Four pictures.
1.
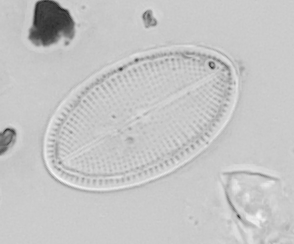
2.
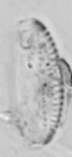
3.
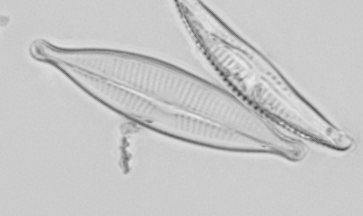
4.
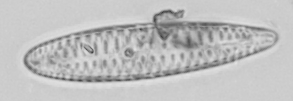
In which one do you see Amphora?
In picture 2.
